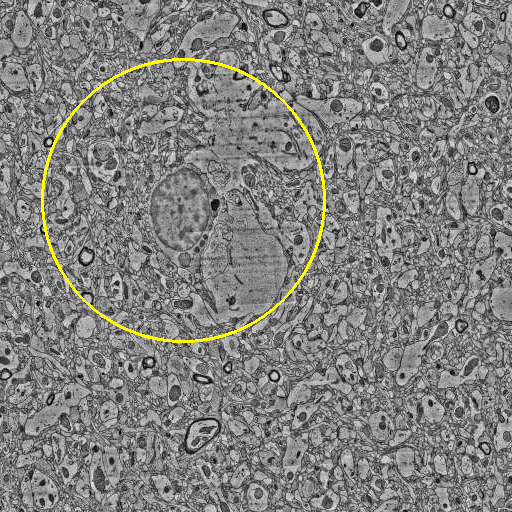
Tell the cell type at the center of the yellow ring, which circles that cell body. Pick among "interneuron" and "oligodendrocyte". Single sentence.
The ring is centered on the body of an oligodendrocyte.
